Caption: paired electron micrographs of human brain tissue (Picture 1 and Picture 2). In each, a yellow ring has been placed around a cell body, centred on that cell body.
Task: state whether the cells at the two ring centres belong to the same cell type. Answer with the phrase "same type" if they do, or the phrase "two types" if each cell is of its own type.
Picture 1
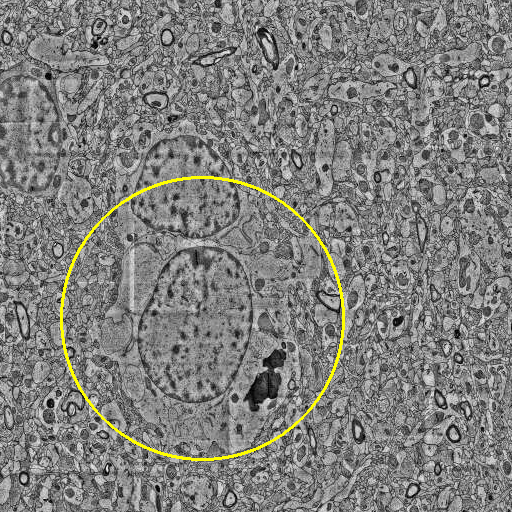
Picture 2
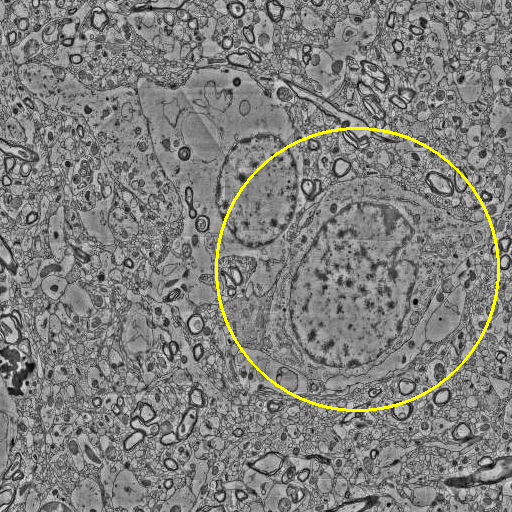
two types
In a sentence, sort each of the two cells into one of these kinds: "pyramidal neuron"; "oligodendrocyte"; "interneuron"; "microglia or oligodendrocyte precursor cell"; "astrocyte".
The first of the two cells is an astrocyte, and the second is an interneuron.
